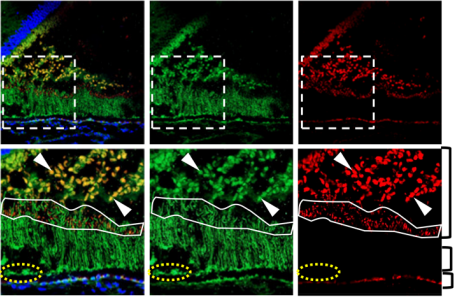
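Below the band, long green outer segments run in parallel vertical strands down to the pigment epithelium, a thin layer at the bottom with blue nuclei. At the base of the outer segments small green patches without red are circled in yellow. The red band itself is faint and irregular rather than a thick even strip.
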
